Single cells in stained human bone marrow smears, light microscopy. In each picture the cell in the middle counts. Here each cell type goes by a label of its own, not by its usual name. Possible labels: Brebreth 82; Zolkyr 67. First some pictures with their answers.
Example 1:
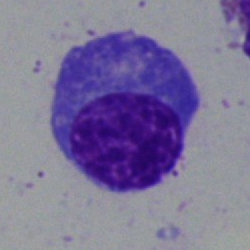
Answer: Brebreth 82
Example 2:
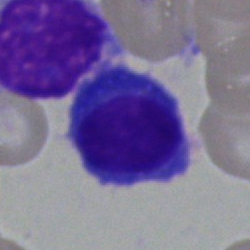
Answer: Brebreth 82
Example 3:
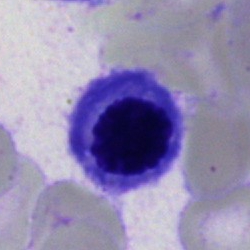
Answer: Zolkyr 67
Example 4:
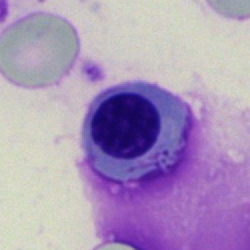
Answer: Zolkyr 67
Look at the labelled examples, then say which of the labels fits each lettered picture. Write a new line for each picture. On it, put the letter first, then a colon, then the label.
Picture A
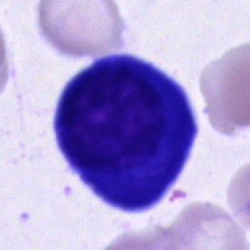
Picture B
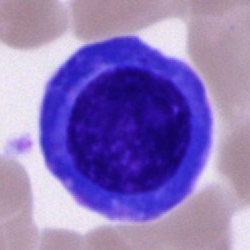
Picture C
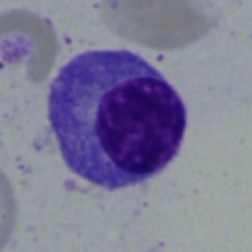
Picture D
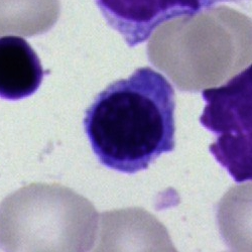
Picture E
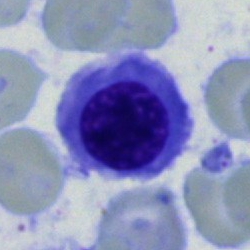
A: Brebreth 82
B: Brebreth 82
C: Brebreth 82
D: Zolkyr 67
E: Zolkyr 67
